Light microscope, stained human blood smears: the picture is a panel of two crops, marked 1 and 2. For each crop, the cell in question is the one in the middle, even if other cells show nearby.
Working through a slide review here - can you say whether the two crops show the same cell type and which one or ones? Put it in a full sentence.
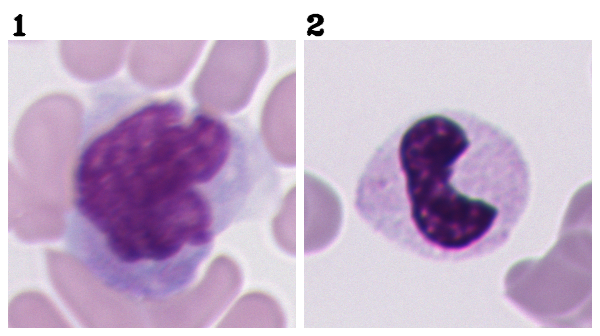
No, crop 1 shows a monocyte and crop 2 shows a band neutrophil.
